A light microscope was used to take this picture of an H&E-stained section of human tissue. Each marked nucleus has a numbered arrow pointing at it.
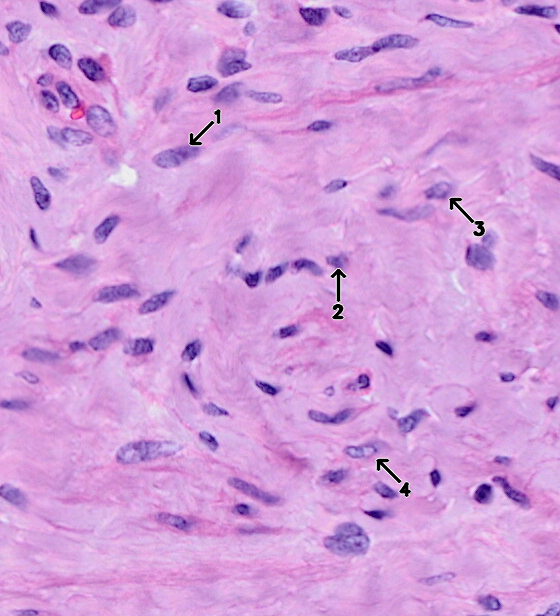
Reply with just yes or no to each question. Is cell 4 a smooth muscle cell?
yes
